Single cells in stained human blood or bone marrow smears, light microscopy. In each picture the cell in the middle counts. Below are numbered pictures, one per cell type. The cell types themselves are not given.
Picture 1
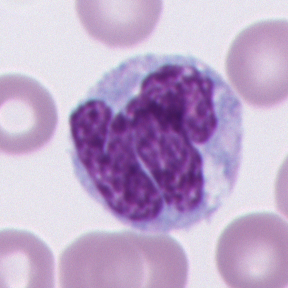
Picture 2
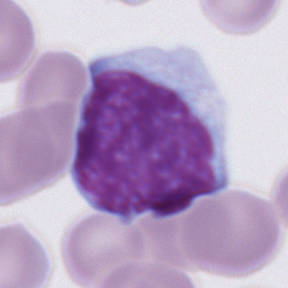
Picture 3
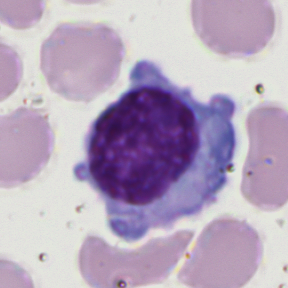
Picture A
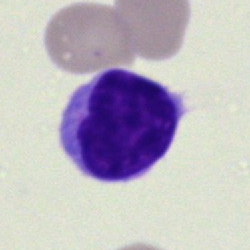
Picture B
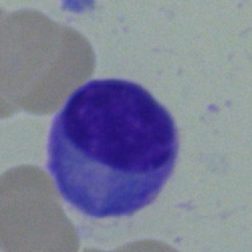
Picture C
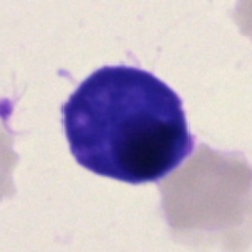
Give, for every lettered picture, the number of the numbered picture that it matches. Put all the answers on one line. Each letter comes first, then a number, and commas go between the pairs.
A 2, B 3, C 3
